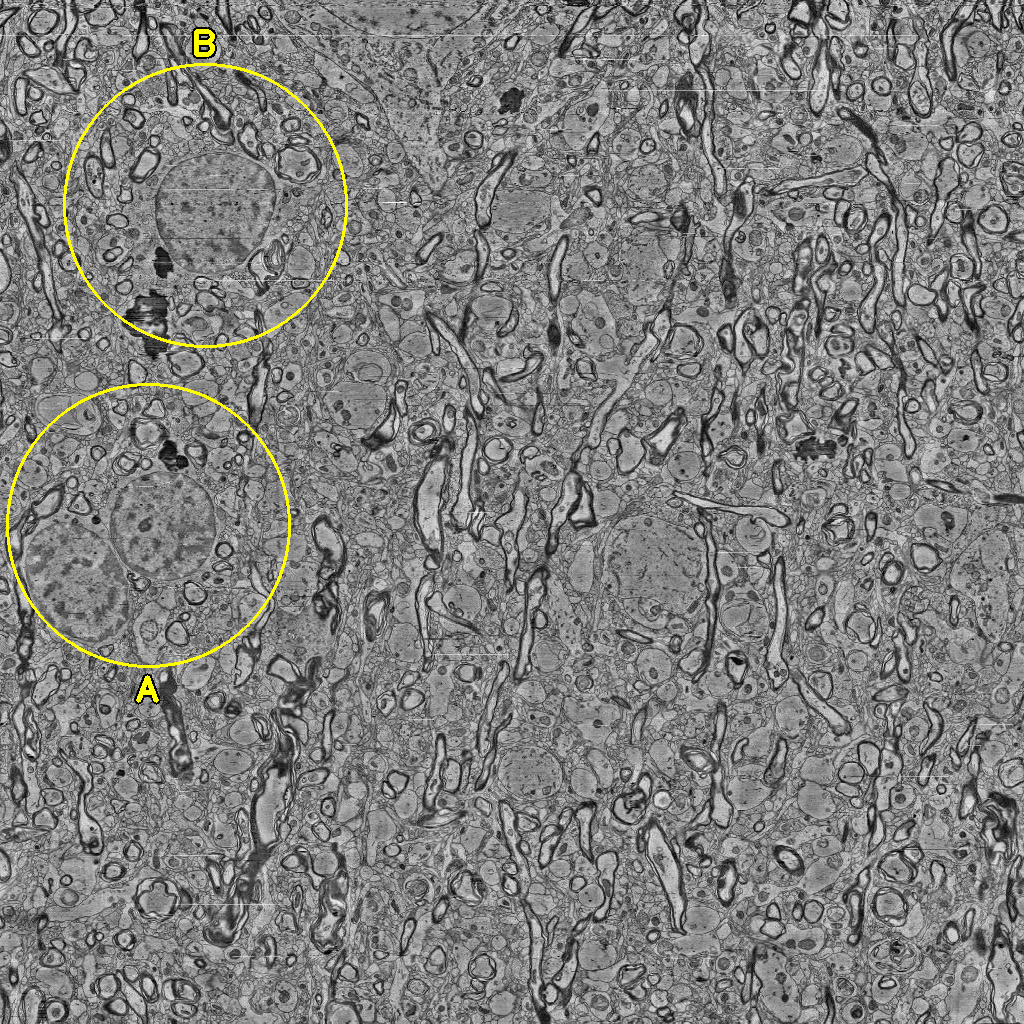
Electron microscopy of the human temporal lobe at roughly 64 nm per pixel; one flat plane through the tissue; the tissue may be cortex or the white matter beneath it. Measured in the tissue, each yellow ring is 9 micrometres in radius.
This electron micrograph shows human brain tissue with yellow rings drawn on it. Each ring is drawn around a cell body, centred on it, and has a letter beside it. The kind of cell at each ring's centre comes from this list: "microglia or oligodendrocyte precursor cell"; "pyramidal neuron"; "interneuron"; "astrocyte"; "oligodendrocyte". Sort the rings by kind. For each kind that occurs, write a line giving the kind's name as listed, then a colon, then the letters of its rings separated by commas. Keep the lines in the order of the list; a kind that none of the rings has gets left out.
oligodendrocyte: A, B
